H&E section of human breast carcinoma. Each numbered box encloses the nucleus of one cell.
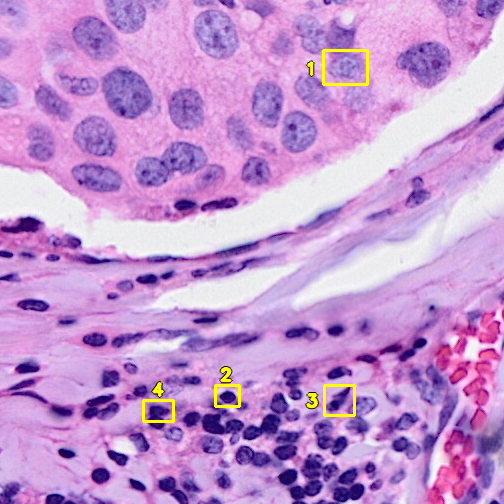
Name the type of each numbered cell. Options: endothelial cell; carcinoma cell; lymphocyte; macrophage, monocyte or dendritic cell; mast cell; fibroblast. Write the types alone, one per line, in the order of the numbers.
carcinoma cell
lymphocyte
lymphocyte
lymphocyte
